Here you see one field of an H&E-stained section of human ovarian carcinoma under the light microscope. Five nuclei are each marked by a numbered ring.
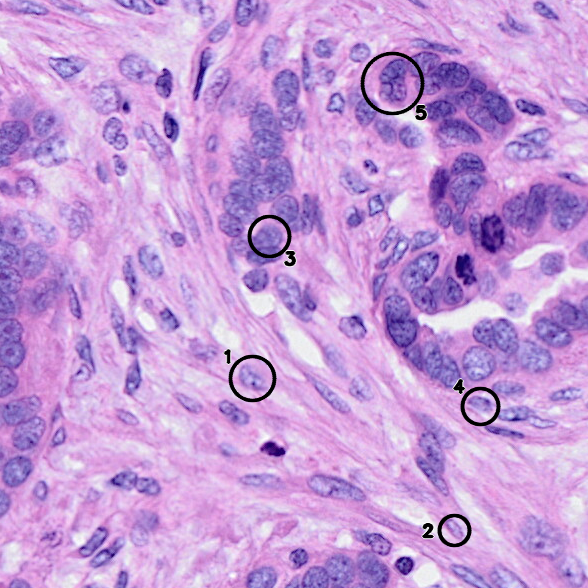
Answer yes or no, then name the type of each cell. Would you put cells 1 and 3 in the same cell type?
No, mate, cell 1 is a fibroblast and cell 3 is a carcinoma cell.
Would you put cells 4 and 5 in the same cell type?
No, cell 4 here is a fibroblast and cell 5 here is a carcinoma cell.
